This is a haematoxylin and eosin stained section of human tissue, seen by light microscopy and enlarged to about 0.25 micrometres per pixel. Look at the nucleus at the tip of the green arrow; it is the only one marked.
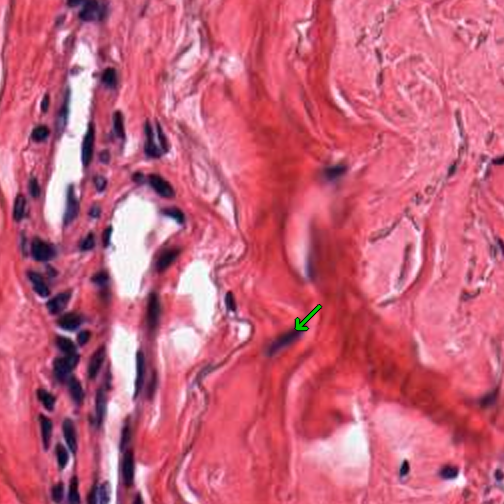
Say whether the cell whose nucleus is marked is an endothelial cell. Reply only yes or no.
no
